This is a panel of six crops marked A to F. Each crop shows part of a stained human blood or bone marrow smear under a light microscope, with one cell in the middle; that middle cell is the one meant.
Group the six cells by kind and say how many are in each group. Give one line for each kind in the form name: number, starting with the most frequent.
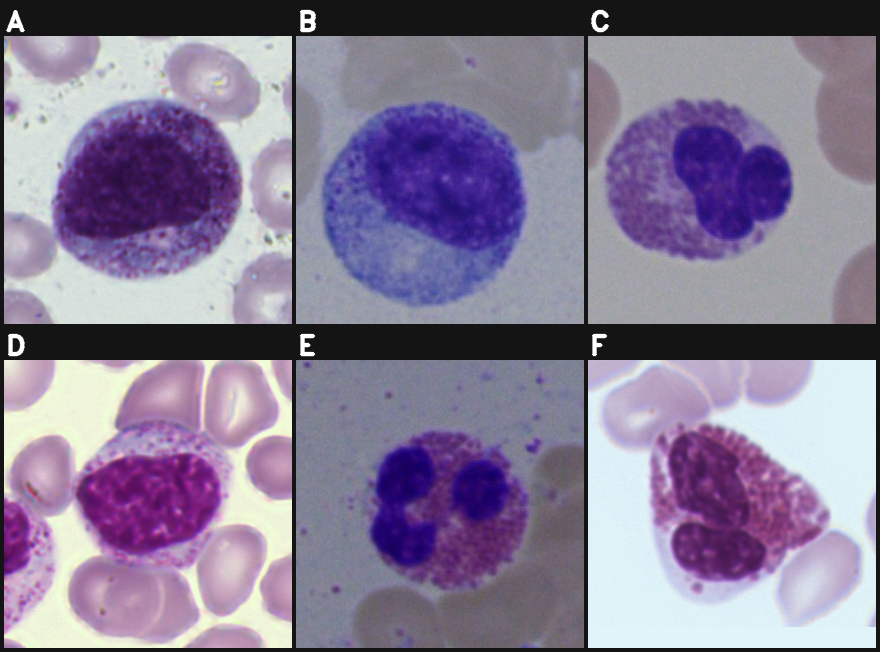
eosinophil: 3
promyelocyte: 2
metamyelocyte: 1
